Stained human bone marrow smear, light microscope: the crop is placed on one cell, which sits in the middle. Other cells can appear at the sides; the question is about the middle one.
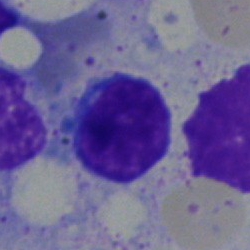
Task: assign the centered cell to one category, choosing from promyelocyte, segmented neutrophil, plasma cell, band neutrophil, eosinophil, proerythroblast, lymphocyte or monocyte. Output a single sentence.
The cell the crop is centered on is a lymphocyte.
